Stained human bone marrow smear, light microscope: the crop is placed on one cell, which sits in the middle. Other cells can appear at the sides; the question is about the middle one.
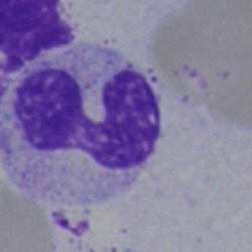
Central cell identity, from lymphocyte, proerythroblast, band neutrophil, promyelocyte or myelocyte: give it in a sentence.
The cell under consideration, at the middle of the crop, is a band neutrophil.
